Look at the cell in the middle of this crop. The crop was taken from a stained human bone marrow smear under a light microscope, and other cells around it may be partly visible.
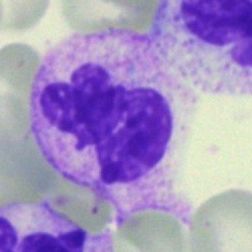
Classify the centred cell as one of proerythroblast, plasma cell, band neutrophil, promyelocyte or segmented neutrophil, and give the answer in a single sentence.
On this slide crop, the central cell is a segmented neutrophil.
